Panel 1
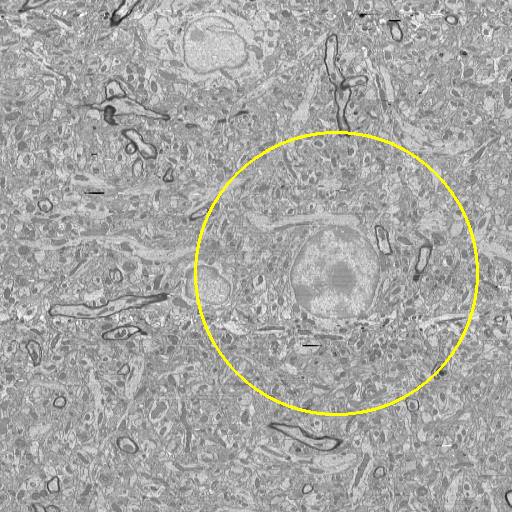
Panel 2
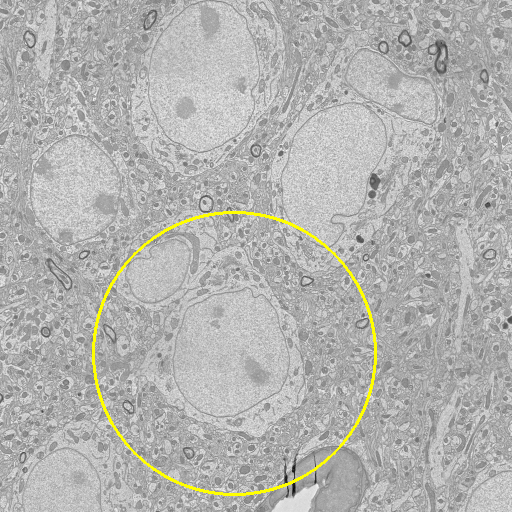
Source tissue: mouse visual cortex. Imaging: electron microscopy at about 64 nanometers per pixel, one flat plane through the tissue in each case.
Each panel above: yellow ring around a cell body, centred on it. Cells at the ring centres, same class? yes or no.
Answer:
no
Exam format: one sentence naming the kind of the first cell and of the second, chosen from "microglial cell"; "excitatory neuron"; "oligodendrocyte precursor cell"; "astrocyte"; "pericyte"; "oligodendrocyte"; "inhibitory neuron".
The first picture's cell is an oligodendrocyte, and the second picture's cell is an excitatory neuron.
